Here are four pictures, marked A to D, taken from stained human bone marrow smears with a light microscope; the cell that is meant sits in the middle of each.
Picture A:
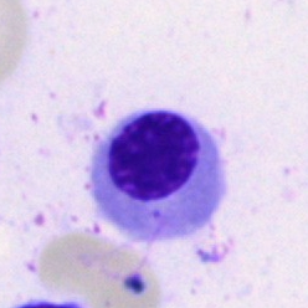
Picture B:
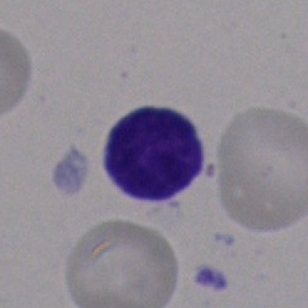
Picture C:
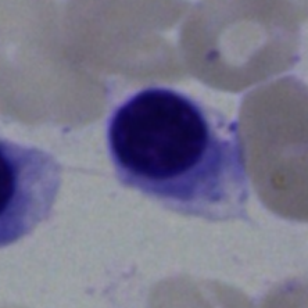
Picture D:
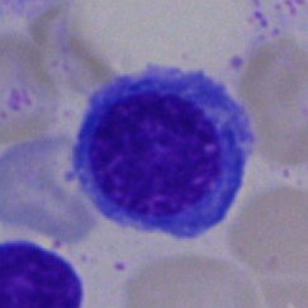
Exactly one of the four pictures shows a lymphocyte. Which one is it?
B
